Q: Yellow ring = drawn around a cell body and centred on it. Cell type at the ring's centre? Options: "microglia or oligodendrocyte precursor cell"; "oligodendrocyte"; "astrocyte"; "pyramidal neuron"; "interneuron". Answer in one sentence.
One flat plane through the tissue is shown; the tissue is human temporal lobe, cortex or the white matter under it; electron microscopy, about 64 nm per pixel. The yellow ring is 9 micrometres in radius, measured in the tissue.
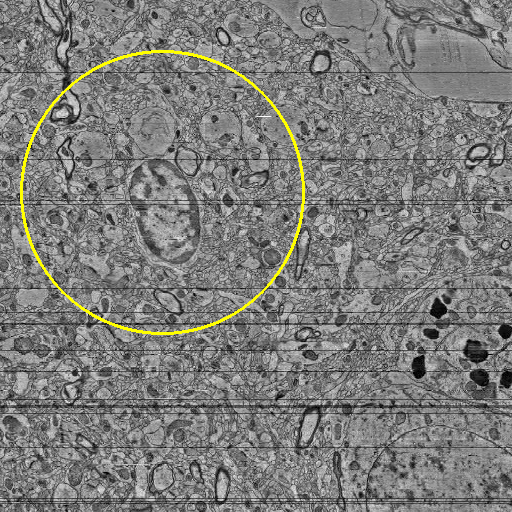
Centred in the ring is a microglial cell or oligodendrocyte precursor cell.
